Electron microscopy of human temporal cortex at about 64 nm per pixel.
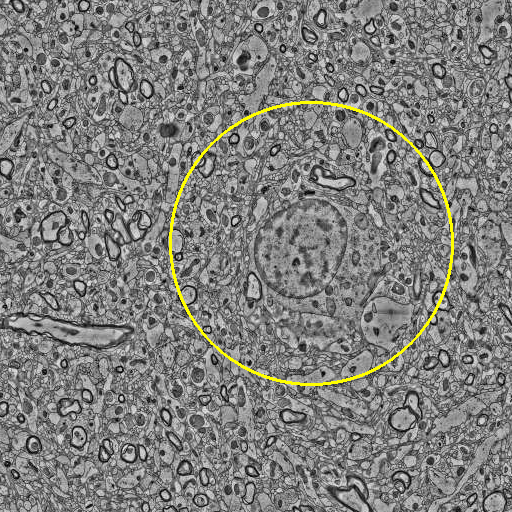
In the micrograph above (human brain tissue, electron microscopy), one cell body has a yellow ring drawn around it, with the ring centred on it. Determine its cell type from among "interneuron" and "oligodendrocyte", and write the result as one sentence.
The cell whose body is ringed is an oligodendrocyte.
